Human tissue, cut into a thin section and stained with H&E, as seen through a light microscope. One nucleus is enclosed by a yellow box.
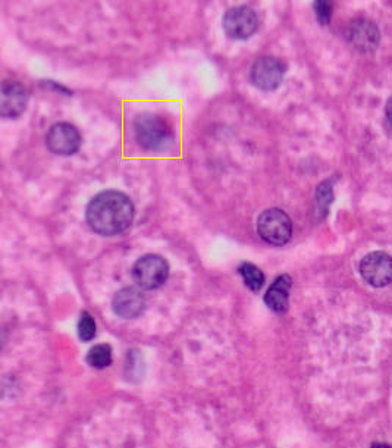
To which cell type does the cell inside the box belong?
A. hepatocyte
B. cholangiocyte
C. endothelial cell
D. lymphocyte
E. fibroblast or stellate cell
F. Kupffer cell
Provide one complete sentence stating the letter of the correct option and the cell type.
Here the cell inside the box is an endothelial cell, which makes option C correct.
